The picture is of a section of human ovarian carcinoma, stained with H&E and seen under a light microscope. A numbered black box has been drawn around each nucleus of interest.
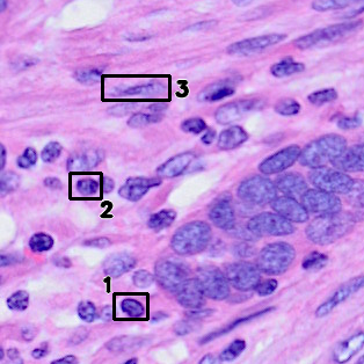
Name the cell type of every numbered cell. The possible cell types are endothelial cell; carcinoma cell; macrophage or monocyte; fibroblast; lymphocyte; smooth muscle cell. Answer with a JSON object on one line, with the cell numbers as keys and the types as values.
{"1": "lymphocyte", "2": "lymphocyte", "3": "fibroblast"}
